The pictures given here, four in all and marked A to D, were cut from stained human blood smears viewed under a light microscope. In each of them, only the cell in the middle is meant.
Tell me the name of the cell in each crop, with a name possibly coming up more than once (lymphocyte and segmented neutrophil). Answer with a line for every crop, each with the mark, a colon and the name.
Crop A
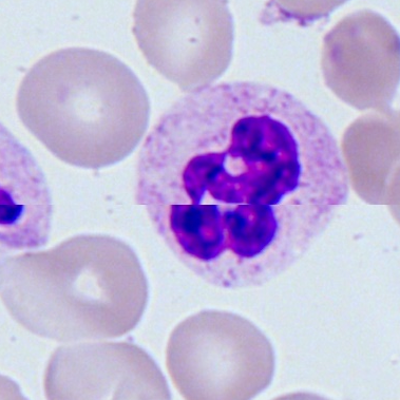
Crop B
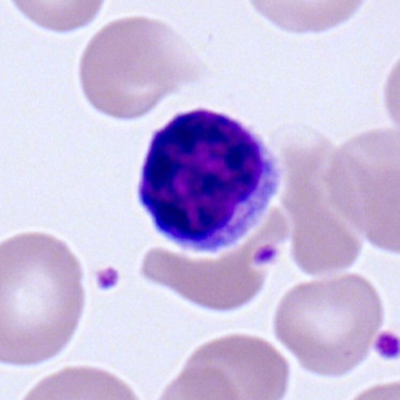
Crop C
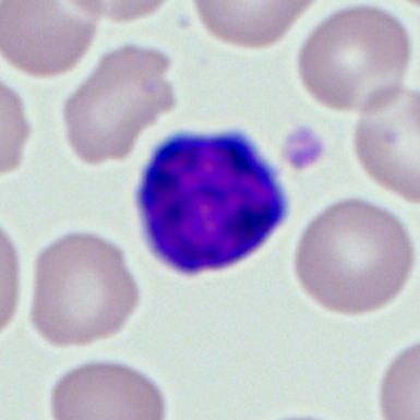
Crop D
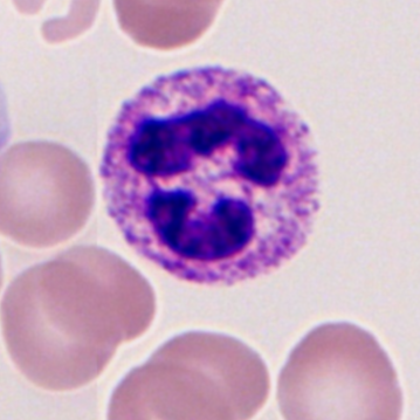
A: segmented neutrophil
B: lymphocyte
C: lymphocyte
D: segmented neutrophil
